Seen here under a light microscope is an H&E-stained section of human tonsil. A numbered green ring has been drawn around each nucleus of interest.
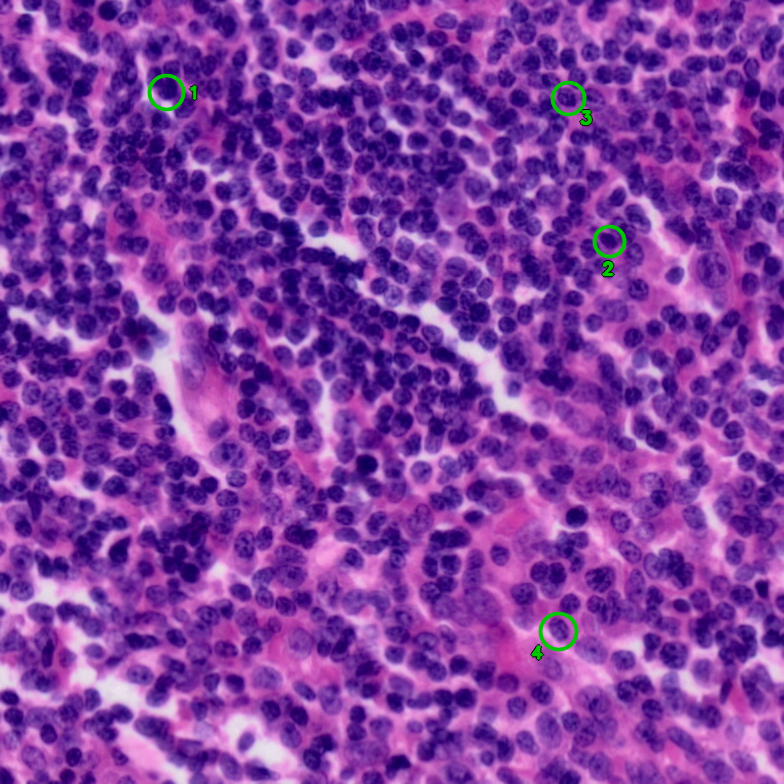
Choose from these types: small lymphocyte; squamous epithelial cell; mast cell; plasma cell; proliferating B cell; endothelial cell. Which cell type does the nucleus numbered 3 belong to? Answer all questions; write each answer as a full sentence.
As for number 3, that cell is a small lymphocyte.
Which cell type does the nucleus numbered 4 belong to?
Cell number 4 in this section is a plasma cell.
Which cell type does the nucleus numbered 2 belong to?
As for number 2, that cell is a small lymphocyte.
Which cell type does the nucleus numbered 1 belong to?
The cell that is numbered 1 is a small lymphocyte.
